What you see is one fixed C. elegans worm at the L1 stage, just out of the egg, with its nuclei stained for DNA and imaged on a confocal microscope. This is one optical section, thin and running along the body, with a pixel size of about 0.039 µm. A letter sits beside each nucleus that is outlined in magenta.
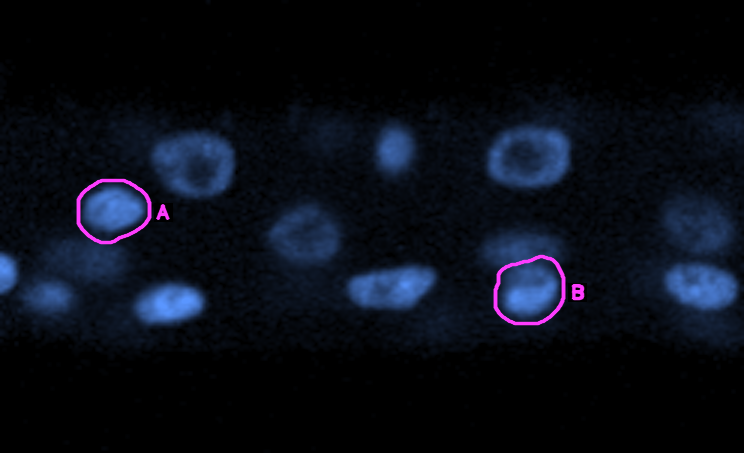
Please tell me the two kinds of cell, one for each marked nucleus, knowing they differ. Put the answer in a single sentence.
Nucleus A comes from a neuron and nucleus B from a body wall muscle cell.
